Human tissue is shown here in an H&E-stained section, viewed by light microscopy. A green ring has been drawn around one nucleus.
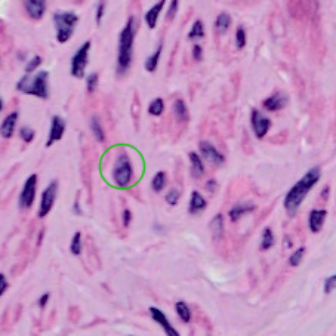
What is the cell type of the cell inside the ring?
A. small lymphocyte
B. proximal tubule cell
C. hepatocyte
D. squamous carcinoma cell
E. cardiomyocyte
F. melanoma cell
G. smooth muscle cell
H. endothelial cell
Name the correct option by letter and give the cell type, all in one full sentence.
The accurate option is G, with the cell inside the ring being a smooth muscle cell.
